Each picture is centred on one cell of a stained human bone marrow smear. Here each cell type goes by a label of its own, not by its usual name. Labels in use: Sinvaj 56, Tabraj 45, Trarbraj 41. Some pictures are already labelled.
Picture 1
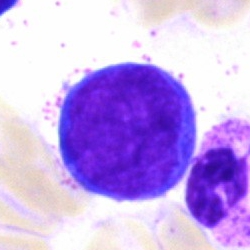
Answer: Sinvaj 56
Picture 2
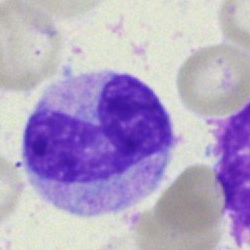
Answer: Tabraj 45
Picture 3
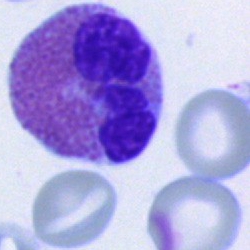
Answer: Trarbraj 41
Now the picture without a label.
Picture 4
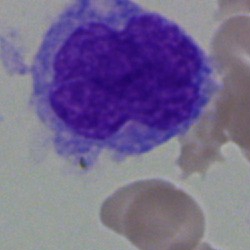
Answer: Tabraj 45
